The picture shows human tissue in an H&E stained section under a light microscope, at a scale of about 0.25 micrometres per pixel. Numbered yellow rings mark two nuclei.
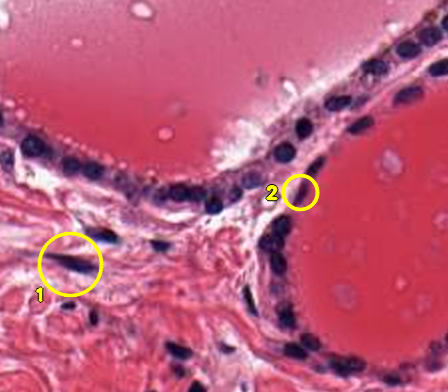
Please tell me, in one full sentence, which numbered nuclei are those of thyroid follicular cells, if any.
Only in the case of nucleus 2 is the cell a thyroid follicular cell.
